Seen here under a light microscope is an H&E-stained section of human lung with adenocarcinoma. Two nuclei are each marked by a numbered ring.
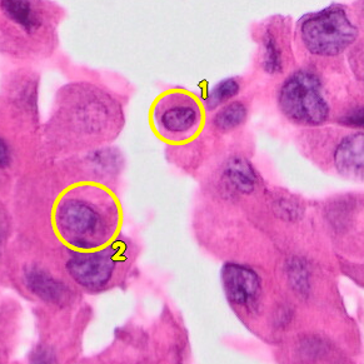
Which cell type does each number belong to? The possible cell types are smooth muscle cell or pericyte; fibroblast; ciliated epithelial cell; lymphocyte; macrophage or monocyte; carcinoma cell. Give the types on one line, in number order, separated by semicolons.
macrophage or monocyte; carcinoma cell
